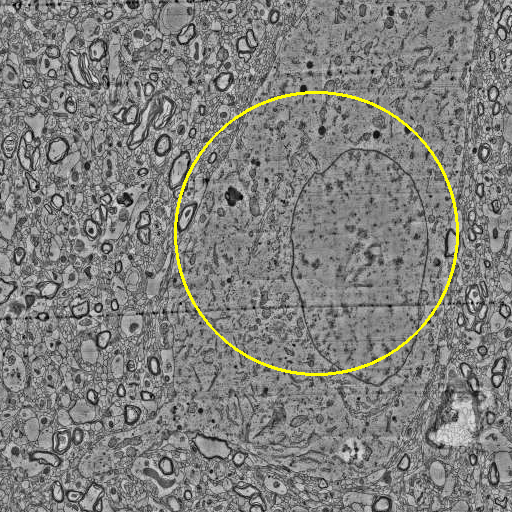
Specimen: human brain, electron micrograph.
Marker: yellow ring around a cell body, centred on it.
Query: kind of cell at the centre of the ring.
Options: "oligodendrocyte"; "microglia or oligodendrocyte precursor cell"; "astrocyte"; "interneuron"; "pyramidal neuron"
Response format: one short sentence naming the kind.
This cell body belongs to a pyramidal neuron.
